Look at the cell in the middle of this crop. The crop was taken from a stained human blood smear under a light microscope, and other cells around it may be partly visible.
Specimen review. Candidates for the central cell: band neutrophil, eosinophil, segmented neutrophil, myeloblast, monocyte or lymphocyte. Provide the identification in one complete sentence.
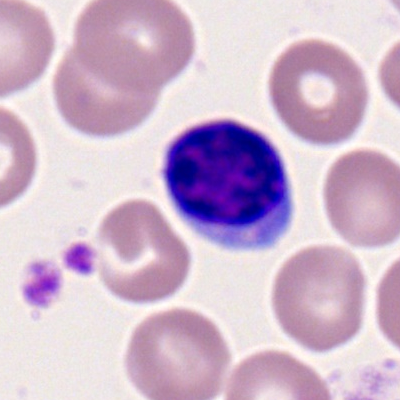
The cell around which this crop is centred is a lymphocyte.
